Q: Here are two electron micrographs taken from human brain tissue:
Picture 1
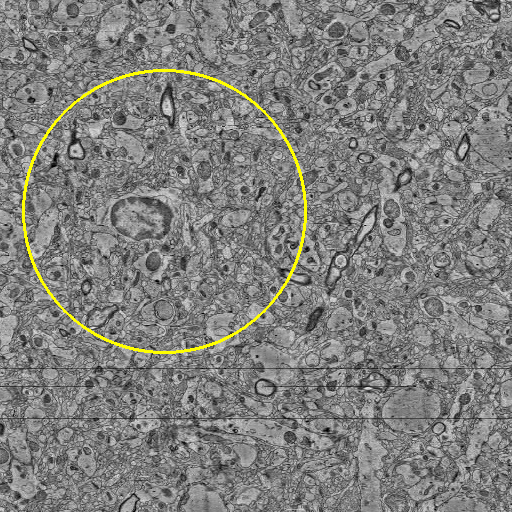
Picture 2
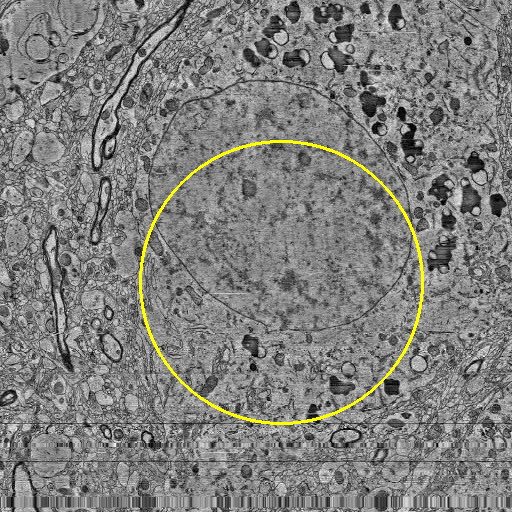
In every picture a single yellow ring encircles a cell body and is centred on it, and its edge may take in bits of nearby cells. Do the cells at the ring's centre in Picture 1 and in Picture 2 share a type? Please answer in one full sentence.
No, the cells at the ring's centre in Picture 1 and Picture 2 are of two types.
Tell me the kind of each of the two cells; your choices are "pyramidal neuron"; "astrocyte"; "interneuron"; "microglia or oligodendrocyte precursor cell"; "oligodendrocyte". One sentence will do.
The ringed cell is a microglial cell or oligodendrocyte precursor cell in the first picture and a pyramidal neuron in the second picture.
